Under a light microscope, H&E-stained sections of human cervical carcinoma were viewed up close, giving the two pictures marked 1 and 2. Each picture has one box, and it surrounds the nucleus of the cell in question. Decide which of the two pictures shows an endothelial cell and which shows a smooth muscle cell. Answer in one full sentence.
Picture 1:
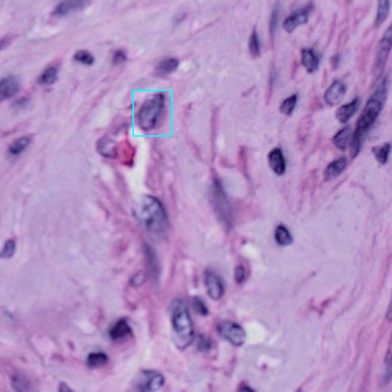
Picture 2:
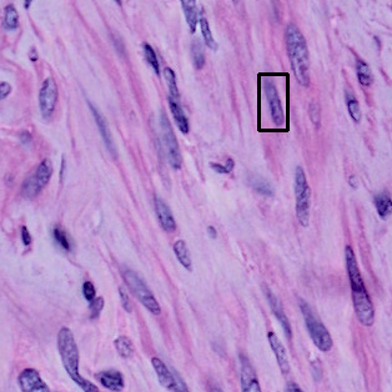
It is picture 1 that shows an endothelial cell, and picture 2 that shows a smooth muscle cell.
